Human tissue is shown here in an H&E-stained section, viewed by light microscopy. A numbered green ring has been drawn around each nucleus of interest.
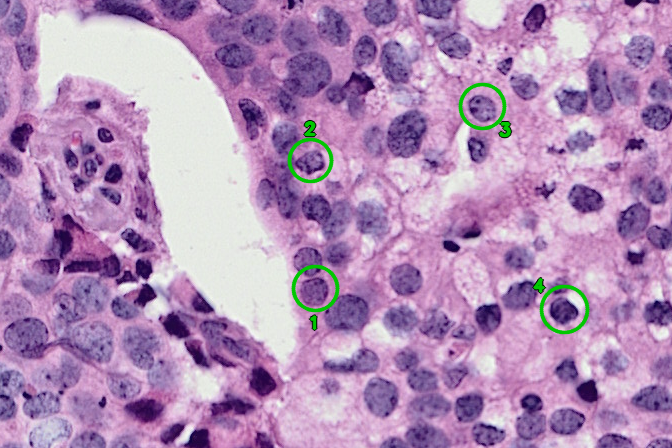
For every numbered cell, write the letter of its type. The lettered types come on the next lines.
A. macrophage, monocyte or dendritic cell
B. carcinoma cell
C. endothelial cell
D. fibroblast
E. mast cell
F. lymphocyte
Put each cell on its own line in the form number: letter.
1: B
2: B
3: A
4: B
